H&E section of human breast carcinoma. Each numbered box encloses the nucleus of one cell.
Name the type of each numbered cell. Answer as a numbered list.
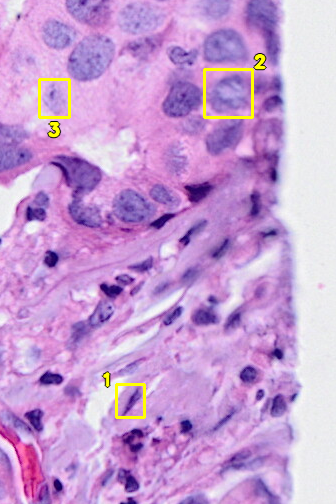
1. fibroblast
2. carcinoma cell
3. carcinoma cell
